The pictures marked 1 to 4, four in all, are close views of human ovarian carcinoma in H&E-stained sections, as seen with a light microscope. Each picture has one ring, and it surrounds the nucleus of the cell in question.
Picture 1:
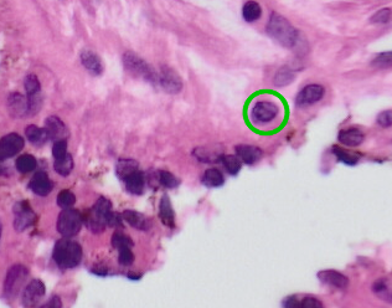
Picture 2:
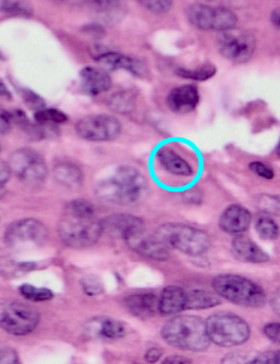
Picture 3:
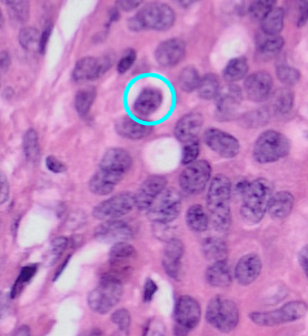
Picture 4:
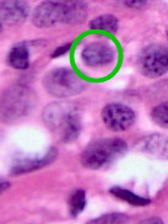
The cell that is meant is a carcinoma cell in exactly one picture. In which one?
3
